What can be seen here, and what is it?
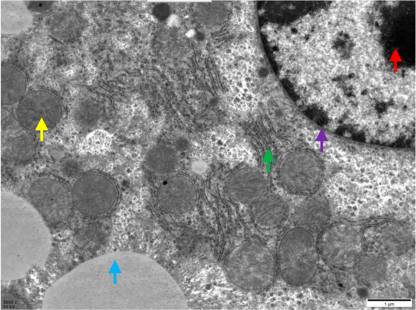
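A liver cell seen at high magnification: at the upper right lies part of a nucleus with dark chromatin clumped along its rim and bounded by a thin envelope. The cytoplasm is crowded with round to oval mitochondria having a dense, fairly uniform matrix, and between them run stacks of thin parallel membranes of rough endoplasmic reticulum. At the lower left edges lie large, smooth, evenly grey rounded bodies, lipid droplets. Between organelles the background is finely granular. The organelles look compact and orderly, without empty spaces or swollen forms.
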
